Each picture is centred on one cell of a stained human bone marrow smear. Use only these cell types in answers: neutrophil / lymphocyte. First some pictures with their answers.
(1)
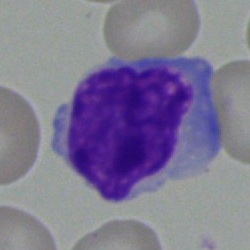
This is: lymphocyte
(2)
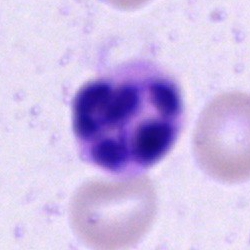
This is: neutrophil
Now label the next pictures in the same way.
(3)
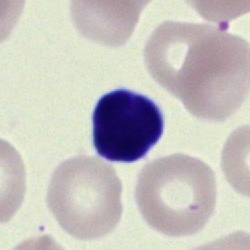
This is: lymphocyte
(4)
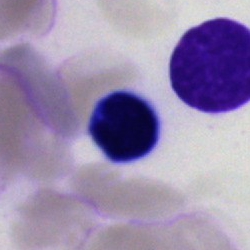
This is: lymphocyte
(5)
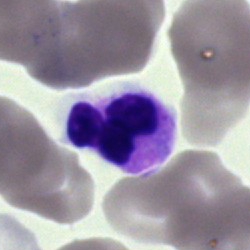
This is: neutrophil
